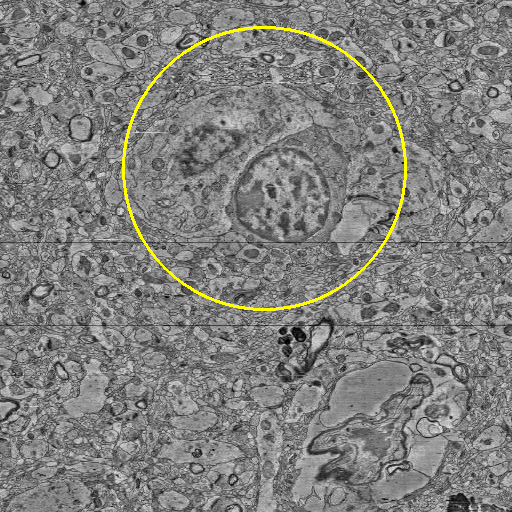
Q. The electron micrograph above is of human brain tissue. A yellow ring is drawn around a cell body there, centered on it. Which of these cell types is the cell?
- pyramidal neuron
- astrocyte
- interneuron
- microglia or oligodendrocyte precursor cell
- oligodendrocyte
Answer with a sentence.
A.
The cell under the ring's center is an oligodendrocyte.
